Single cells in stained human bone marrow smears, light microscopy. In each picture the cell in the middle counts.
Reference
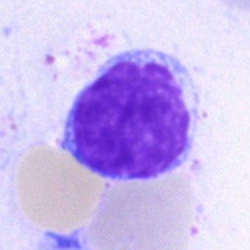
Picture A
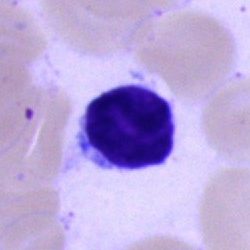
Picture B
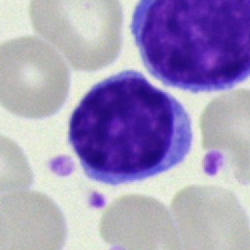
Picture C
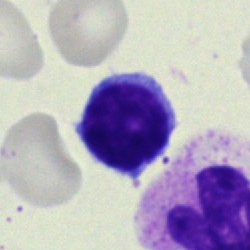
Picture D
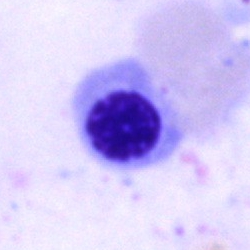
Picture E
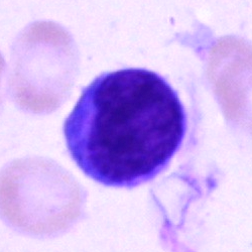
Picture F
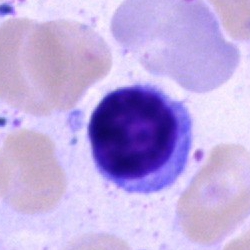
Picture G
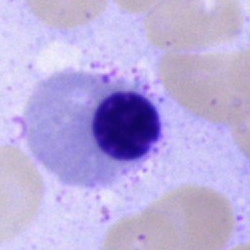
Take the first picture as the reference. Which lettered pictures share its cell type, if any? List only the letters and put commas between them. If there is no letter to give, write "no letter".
A, B, C, E, F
